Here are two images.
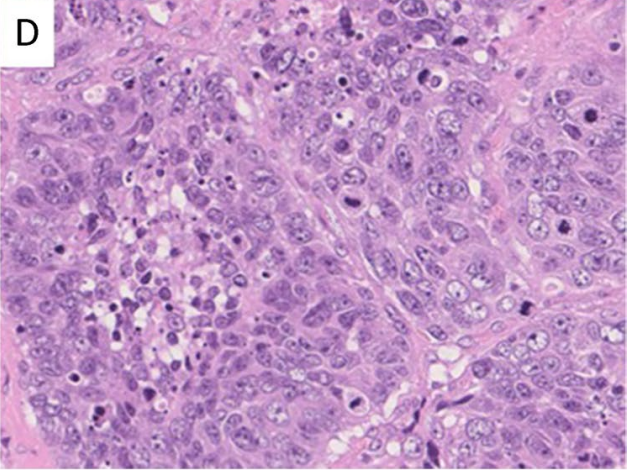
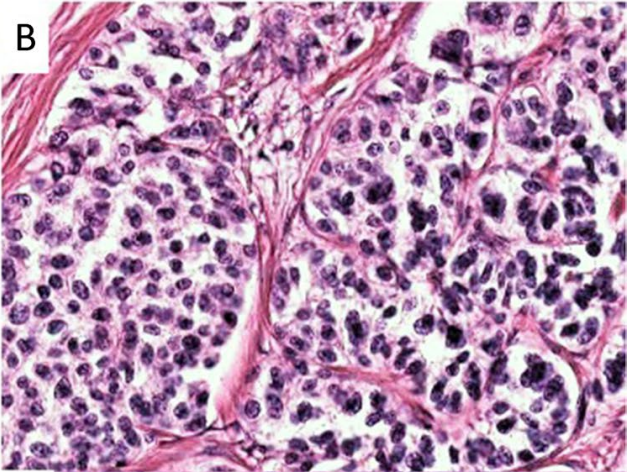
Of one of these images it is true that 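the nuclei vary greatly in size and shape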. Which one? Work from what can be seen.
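First image: nuclei range from small and dark to large and vesicular with big nucleoli. On this evidence: the first image.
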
